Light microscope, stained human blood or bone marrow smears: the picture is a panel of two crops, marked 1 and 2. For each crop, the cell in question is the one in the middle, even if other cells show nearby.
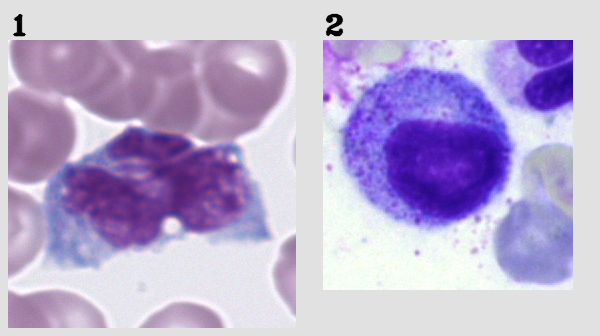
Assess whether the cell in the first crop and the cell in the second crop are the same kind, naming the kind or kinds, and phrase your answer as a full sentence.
No, a monocyte is the cell in crop 1; a myelocyte is the cell in crop 2.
